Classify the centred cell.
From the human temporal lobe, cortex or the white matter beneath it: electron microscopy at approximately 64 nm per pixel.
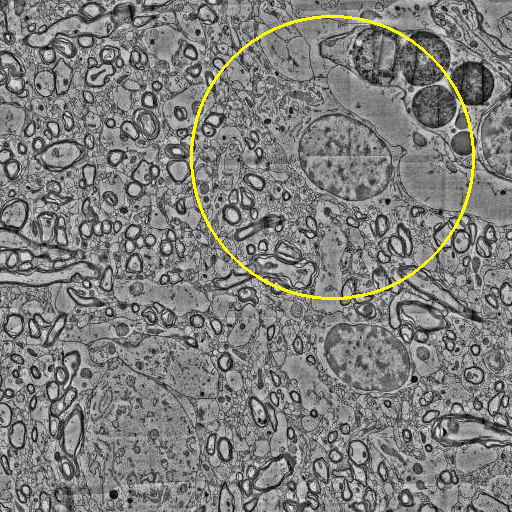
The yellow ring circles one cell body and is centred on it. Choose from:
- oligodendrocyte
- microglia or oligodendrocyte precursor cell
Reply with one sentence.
The ring is centred on a microglial cell or oligodendrocyte precursor cell.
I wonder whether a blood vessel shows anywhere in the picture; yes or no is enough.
Yes, the picture includes a blood vessel.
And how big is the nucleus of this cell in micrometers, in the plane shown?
The nucleus appears roughly 6 by 5 micrometres in this plane.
